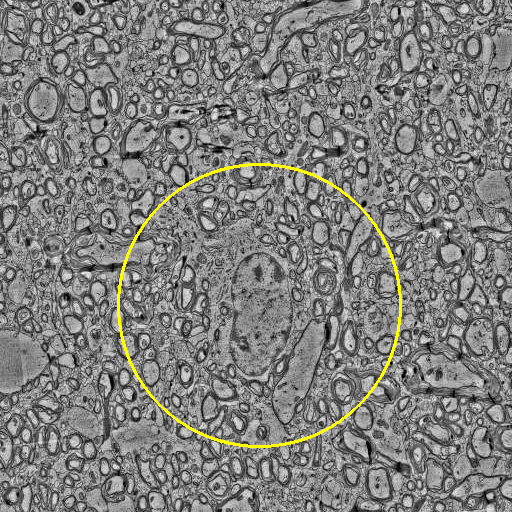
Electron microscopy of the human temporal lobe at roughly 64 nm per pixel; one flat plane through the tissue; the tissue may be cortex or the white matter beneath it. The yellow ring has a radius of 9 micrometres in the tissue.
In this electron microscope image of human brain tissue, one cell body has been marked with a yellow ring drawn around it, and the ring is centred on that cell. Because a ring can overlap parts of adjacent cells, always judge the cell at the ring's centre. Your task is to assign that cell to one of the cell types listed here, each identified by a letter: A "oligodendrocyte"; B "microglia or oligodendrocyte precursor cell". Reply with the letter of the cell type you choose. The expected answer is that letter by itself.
B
